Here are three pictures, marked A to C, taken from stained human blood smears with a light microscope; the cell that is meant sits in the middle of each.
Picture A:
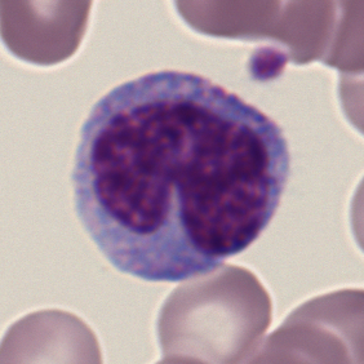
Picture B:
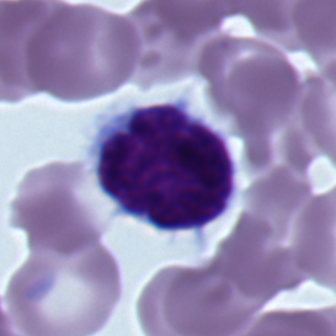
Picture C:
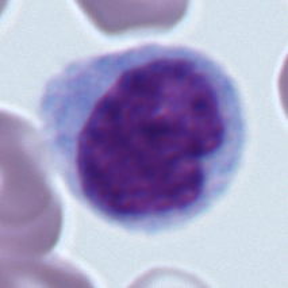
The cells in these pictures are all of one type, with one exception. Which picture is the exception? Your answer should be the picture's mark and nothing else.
B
